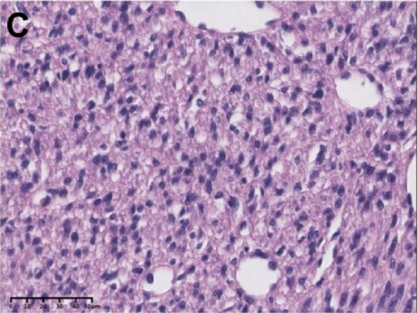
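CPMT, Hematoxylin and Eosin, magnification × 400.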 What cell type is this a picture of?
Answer: Oval tumor cells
